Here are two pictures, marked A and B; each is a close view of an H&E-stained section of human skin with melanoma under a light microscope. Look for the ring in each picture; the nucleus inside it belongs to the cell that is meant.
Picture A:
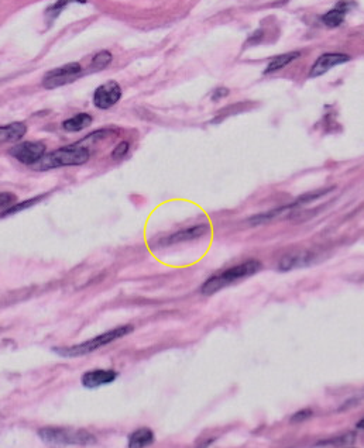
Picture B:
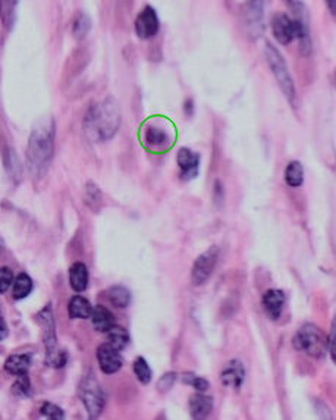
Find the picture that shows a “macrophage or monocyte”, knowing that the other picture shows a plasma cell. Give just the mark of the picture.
A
